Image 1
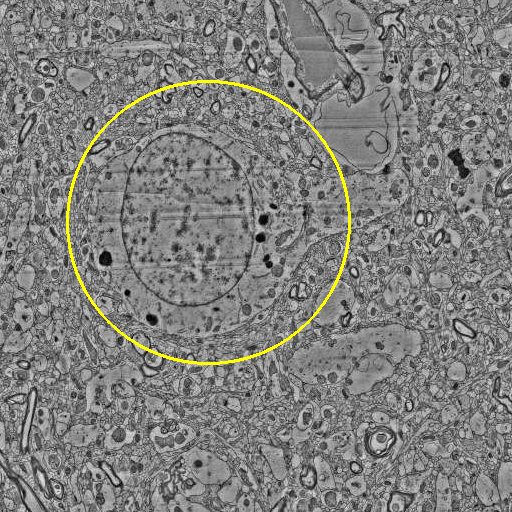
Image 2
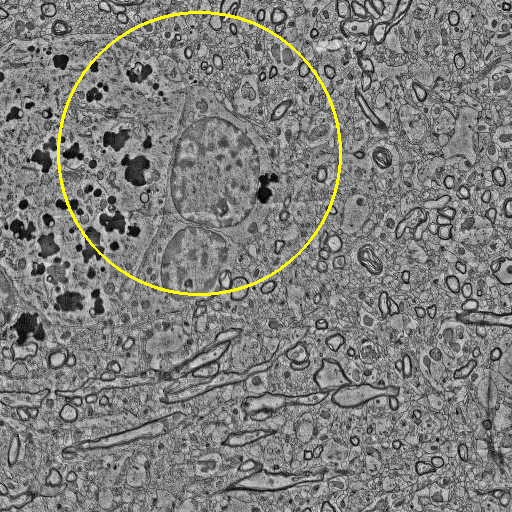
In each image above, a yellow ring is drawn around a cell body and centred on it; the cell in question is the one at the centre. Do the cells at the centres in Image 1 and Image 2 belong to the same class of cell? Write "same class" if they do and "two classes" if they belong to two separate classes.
two classes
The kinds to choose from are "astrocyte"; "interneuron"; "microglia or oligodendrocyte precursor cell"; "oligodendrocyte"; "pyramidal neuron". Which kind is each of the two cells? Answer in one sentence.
Of the two, the first cell is a pyramidal neuron and the second cell is an oligodendrocyte.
